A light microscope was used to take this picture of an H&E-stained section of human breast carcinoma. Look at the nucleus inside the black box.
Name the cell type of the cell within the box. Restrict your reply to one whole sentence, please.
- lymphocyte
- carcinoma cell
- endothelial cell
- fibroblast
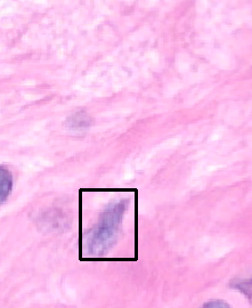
As to its cell type, the cell within the box is a fibroblast.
